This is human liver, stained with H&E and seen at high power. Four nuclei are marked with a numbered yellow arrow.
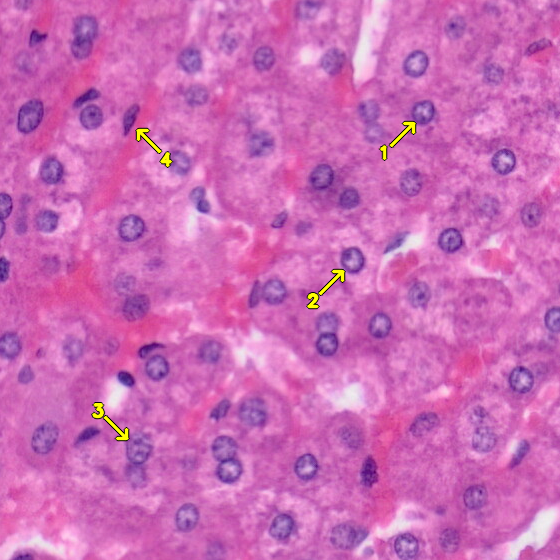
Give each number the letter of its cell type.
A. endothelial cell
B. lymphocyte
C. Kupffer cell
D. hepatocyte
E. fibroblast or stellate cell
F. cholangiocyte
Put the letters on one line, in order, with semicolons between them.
D; D; D; A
